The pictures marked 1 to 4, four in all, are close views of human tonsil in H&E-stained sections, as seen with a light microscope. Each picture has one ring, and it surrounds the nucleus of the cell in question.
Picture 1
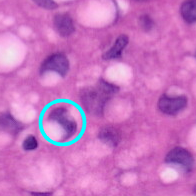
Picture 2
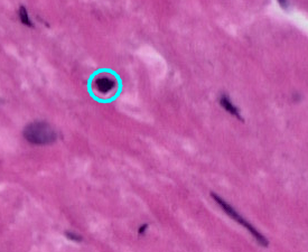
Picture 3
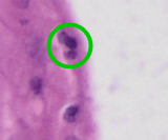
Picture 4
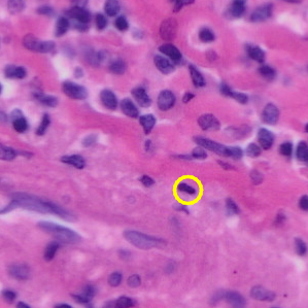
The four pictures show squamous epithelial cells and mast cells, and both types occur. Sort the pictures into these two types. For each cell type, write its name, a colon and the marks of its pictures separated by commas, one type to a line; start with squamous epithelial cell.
squamous epithelial cell: 1, 3
mast cell: 2, 4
